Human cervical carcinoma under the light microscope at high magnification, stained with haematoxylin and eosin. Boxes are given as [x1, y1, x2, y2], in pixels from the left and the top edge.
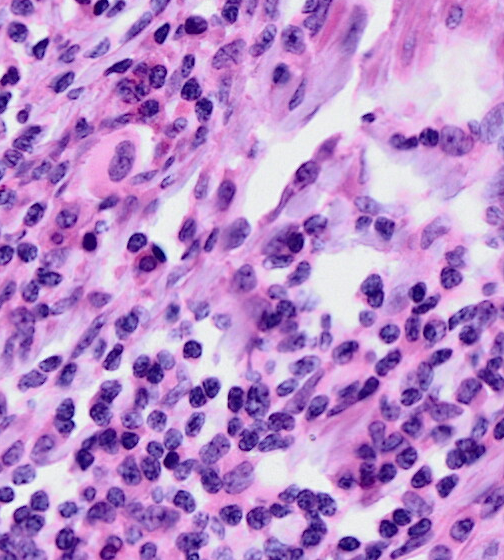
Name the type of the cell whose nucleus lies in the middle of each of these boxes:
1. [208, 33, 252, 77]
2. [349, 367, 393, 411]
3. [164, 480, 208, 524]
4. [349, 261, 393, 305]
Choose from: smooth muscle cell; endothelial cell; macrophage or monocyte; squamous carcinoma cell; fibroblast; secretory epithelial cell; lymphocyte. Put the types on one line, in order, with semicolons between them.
macrophage or monocyte; lymphocyte; lymphocyte; lymphocyte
